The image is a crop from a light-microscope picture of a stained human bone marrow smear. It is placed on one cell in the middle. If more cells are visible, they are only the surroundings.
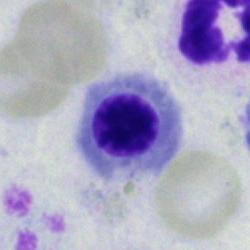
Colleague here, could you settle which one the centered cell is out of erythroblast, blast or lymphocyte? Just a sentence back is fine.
For this crop, the cell in the middle is an erythroblast.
